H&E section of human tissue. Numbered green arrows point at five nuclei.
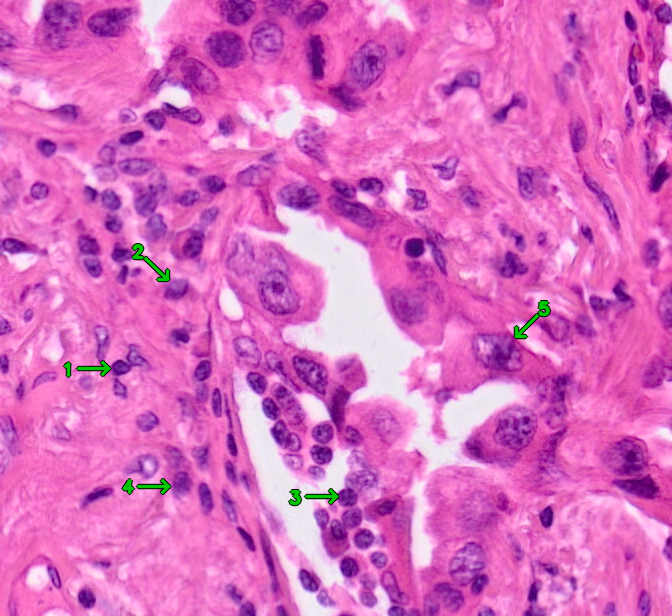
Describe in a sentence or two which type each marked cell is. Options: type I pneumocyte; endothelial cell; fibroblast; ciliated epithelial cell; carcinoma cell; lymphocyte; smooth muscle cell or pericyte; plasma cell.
Cells 1 and 3 are lymphocytes. Cells 2 and 4 are plasma cells. Cell 5 is a carcinoma cell.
